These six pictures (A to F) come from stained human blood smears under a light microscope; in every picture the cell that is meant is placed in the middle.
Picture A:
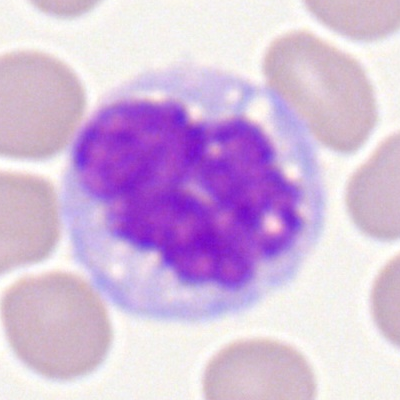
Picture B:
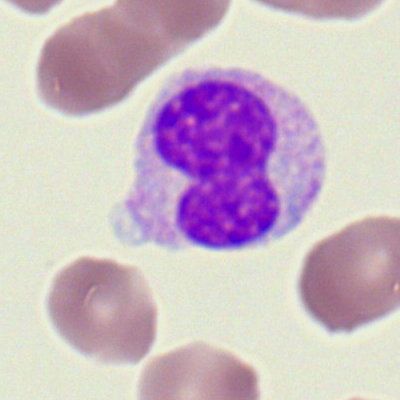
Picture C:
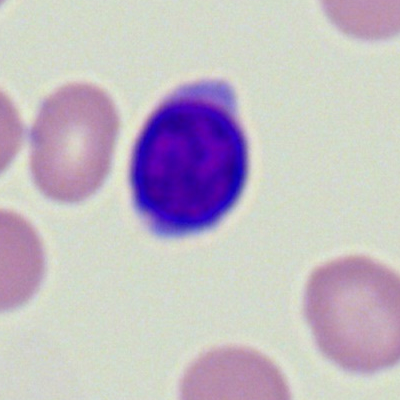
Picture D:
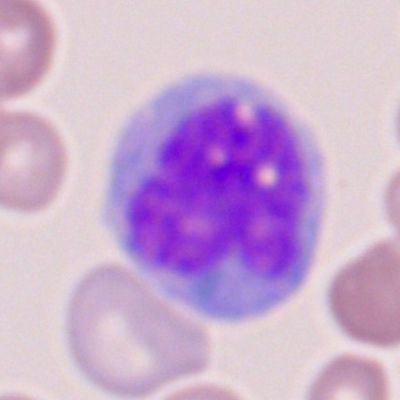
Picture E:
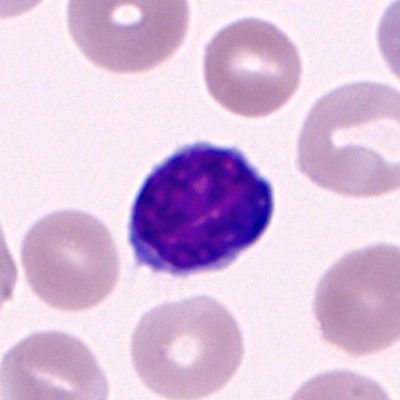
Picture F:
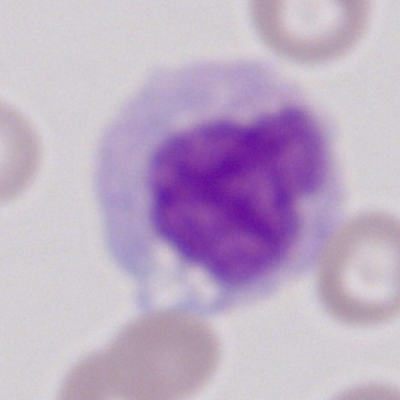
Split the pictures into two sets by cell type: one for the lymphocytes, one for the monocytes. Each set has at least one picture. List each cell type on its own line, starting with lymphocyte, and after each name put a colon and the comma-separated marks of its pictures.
lymphocyte: C, E
monocyte: A, B, D, F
